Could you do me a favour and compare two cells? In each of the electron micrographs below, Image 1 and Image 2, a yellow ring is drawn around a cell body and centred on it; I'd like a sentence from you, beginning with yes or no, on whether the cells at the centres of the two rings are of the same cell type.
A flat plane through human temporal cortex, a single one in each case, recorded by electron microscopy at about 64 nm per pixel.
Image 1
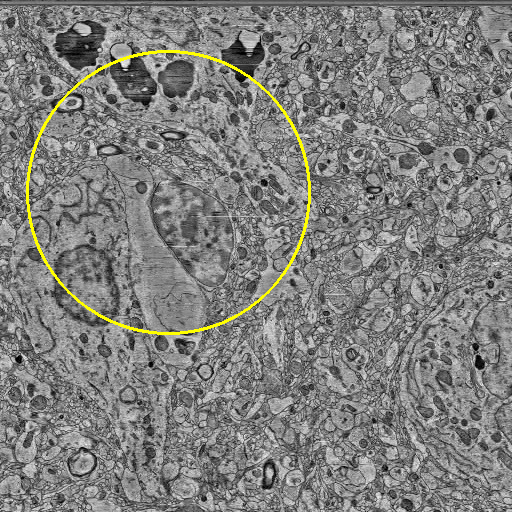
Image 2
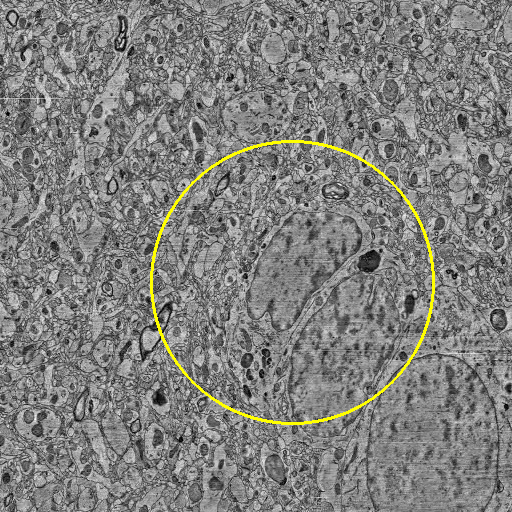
Yes, the two cells are of the same cell type.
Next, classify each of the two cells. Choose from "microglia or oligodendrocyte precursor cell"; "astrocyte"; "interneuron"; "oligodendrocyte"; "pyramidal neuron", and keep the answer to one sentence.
Both pictures show a microglial cell or oligodendrocyte precursor cell at the centre of the ring.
